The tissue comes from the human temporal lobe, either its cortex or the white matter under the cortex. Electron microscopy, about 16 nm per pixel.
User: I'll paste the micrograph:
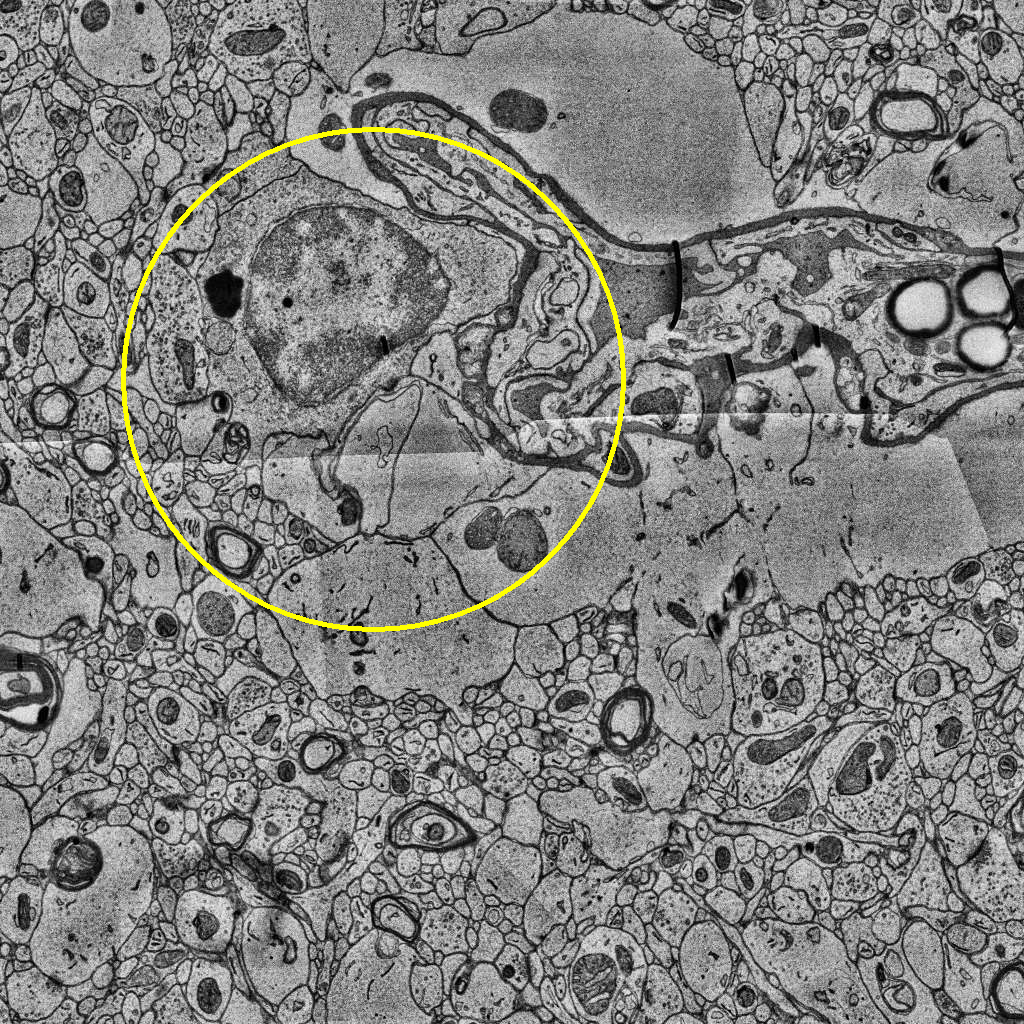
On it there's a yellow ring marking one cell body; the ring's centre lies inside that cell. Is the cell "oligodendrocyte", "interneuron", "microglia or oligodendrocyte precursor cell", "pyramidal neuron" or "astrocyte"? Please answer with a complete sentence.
The cell at the centre of the yellow ring is an oligodendrocyte.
